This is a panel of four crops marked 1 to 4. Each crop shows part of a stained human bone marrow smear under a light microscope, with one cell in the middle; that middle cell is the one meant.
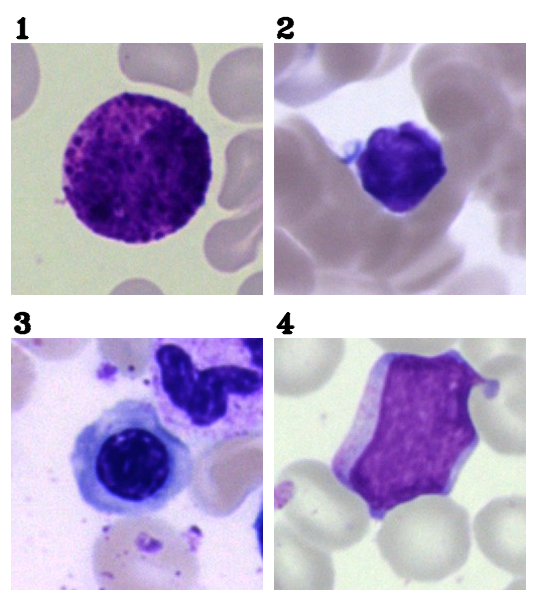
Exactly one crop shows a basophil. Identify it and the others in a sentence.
Concerning crop 1, the cell shown is a basophil, whereas crop 2 is a lymphocyte, crop 3 is an erythroblast and crop 4 is a blast.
